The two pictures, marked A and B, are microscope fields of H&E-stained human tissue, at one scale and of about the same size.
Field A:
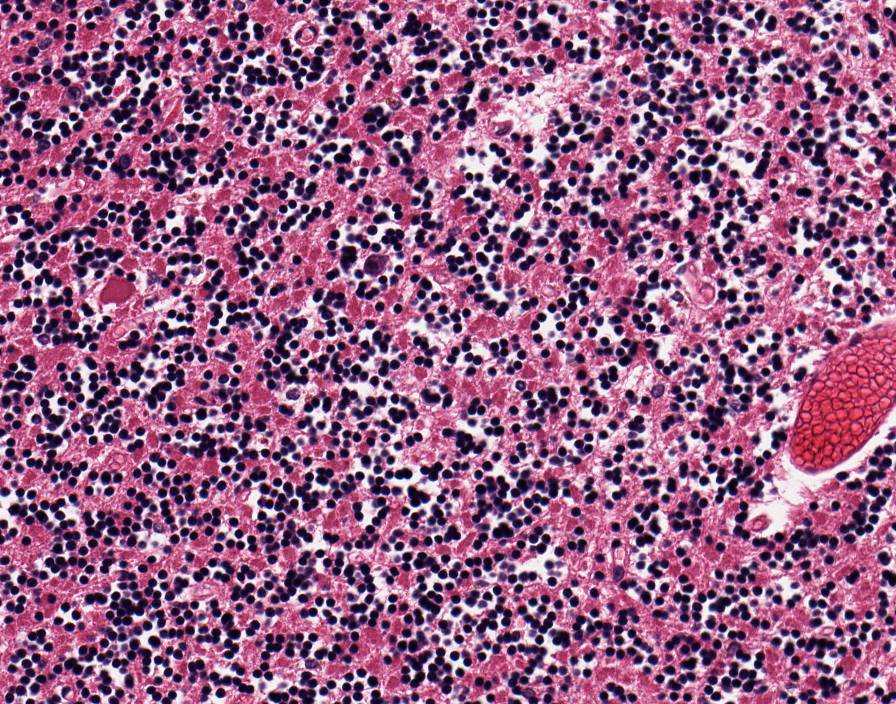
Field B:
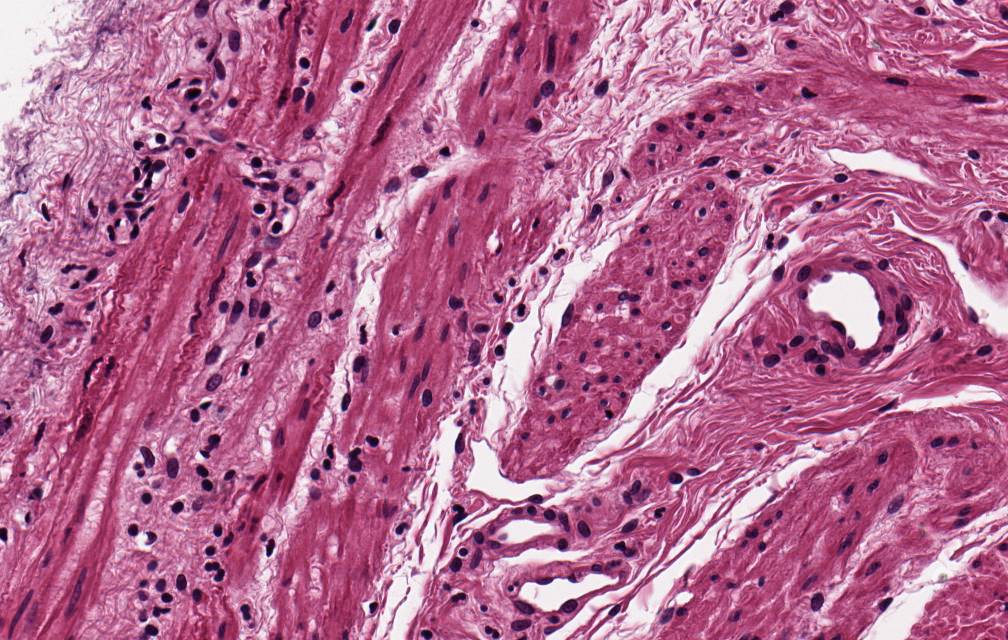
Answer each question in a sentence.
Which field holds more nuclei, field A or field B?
More nuclei lie in field A than in field B.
